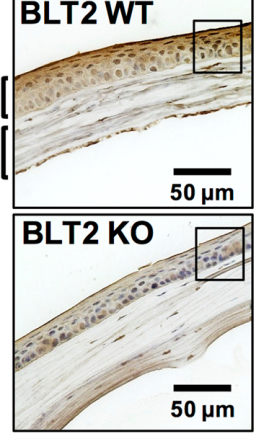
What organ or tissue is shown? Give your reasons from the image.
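Cornea. A thin multilayered epithelium of flattened to cuboidal cells covers a thicker layer. The underlying layer is made of regular parallel lamellae with sparse flat nuclei. No blood vessels are seen in the tissue.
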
